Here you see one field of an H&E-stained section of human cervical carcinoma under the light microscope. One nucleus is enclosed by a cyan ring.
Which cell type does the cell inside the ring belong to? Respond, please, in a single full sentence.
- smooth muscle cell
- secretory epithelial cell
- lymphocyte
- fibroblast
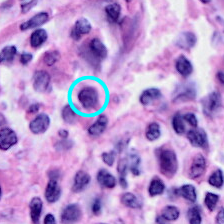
With respect to cell type, the cell inside the ring is a lymphocyte.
